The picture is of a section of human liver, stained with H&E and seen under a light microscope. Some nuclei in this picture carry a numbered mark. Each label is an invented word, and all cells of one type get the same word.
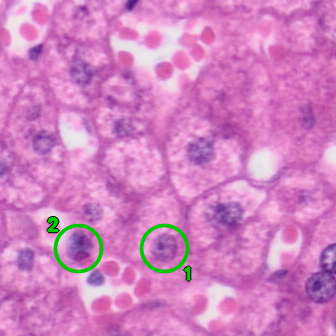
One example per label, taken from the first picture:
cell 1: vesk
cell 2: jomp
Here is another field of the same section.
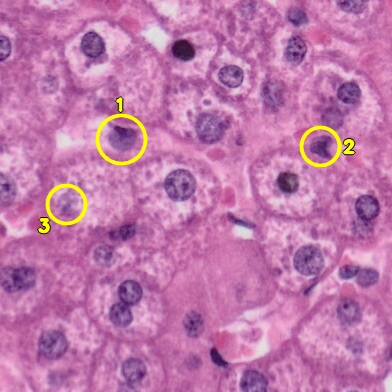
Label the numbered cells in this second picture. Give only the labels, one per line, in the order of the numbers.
jomp
jomp
vesk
